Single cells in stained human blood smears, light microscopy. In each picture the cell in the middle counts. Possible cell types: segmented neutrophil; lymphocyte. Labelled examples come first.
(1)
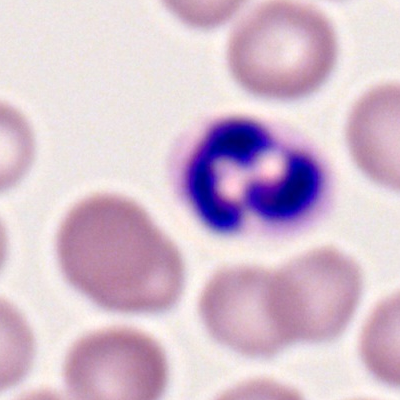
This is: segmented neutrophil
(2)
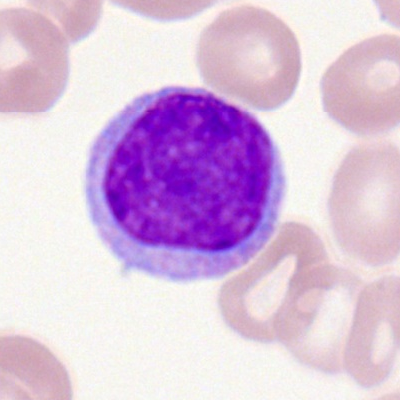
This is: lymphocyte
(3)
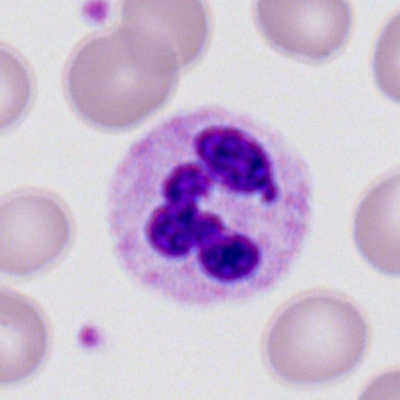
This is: segmented neutrophil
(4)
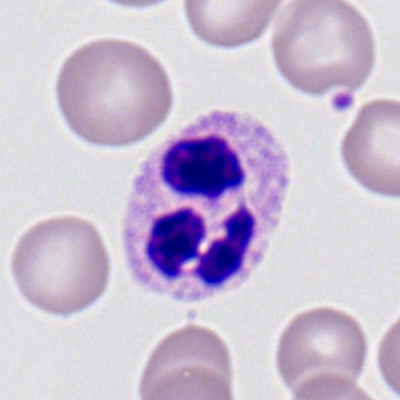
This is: segmented neutrophil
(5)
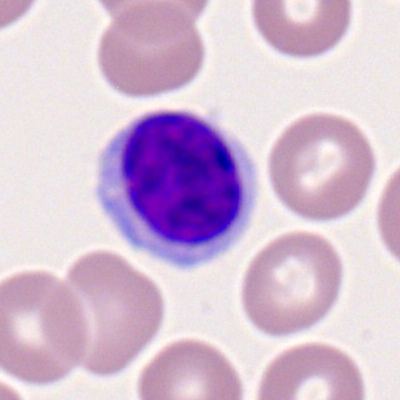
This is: lymphocyte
